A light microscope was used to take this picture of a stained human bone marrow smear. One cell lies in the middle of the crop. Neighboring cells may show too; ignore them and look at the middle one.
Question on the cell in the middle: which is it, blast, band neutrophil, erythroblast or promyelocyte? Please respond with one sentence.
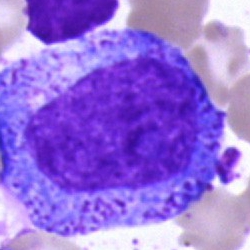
The cell that lies at the centre of the crop is a promyelocyte.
